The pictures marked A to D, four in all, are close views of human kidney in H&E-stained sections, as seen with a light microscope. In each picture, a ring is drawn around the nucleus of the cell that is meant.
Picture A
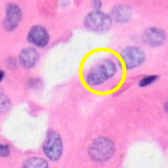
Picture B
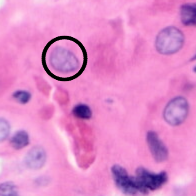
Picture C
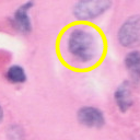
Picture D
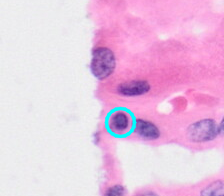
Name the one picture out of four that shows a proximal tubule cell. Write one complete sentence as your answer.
The picture with the proximal tubule cell is B.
